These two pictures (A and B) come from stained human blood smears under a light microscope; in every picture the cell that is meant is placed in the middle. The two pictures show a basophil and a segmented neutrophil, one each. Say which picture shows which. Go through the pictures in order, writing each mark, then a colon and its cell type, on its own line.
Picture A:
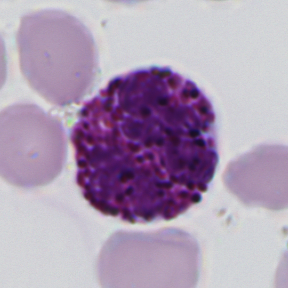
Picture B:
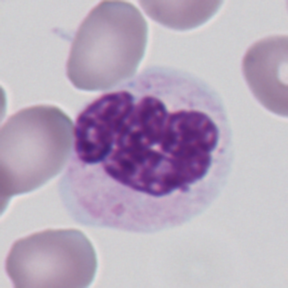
A: basophil
B: segmented neutrophil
